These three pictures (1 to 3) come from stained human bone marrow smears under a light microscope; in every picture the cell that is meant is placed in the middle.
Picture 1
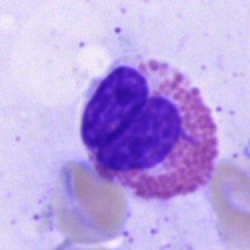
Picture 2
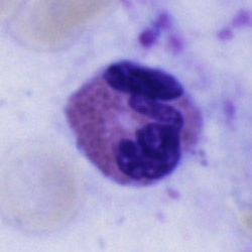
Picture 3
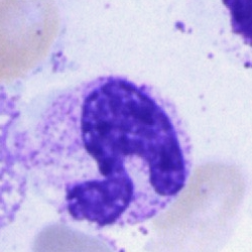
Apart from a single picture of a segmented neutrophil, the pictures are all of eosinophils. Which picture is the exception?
3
